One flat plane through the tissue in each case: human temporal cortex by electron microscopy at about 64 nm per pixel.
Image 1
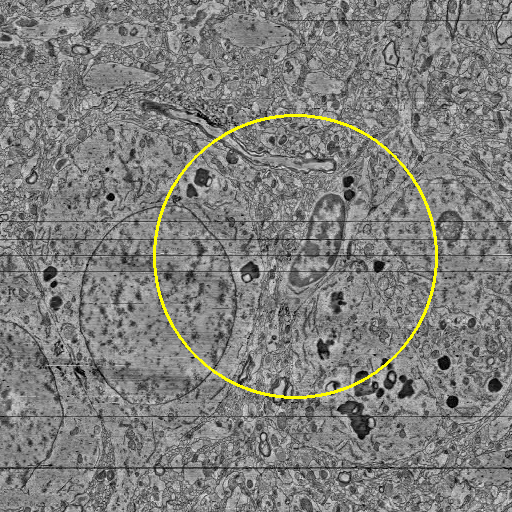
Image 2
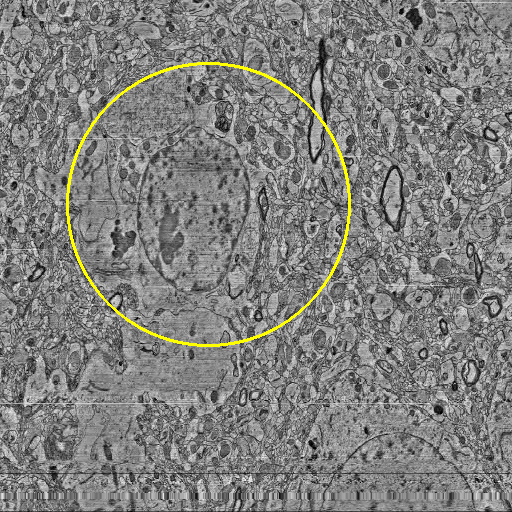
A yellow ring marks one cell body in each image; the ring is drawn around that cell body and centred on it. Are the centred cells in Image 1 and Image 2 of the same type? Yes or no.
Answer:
no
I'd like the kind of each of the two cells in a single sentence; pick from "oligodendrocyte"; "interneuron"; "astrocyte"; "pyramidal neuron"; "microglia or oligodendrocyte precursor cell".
The first ring marks a microglial cell or oligodendrocyte precursor cell, and the second ring marks an astrocyte.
